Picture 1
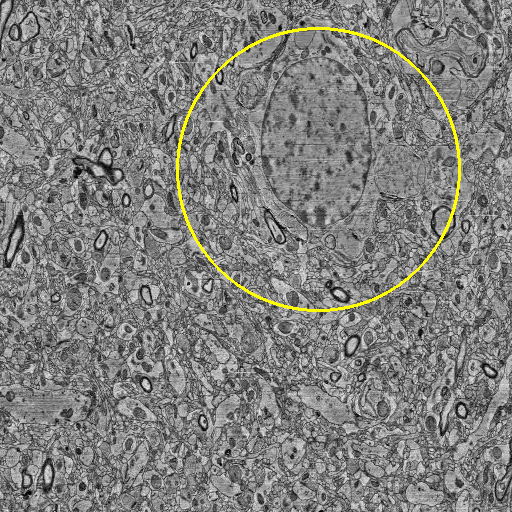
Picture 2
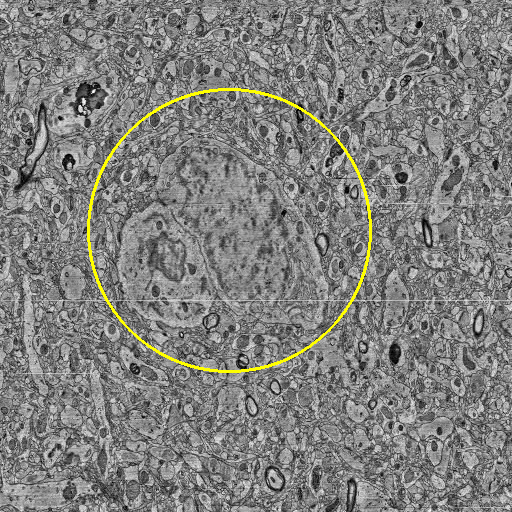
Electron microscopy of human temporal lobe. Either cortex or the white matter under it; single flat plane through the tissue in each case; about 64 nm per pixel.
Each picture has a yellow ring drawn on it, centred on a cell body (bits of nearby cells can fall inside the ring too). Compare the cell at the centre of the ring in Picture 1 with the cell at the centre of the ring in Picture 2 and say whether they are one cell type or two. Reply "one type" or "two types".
two types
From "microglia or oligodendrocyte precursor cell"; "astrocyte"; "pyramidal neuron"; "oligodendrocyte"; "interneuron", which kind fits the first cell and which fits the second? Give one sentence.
The cell marked in the first picture is an astrocyte, and the one marked in the second is an interneuron.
